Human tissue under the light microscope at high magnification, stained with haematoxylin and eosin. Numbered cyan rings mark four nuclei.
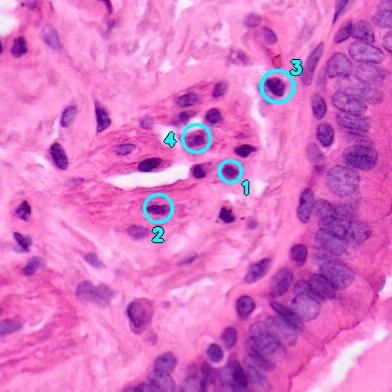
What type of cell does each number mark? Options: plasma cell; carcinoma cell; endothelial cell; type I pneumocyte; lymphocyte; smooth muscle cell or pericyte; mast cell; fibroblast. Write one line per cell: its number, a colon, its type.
1: smooth muscle cell or pericyte
2: smooth muscle cell or pericyte
3: lymphocyte
4: smooth muscle cell or pericyte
